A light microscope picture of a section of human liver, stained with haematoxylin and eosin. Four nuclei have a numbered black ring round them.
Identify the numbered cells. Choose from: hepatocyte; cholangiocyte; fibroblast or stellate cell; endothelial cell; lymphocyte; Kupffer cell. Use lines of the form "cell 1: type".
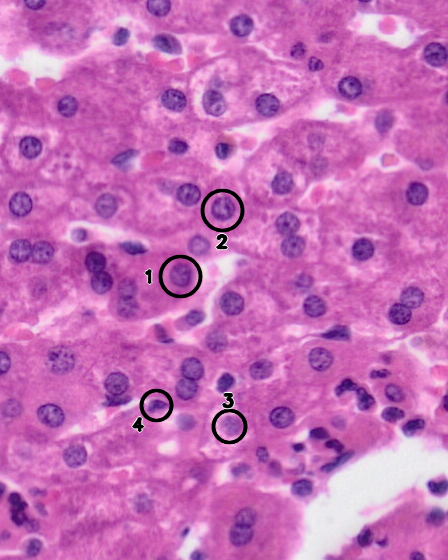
cell 1: hepatocyte
cell 2: hepatocyte
cell 3: hepatocyte
cell 4: fibroblast or stellate cell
